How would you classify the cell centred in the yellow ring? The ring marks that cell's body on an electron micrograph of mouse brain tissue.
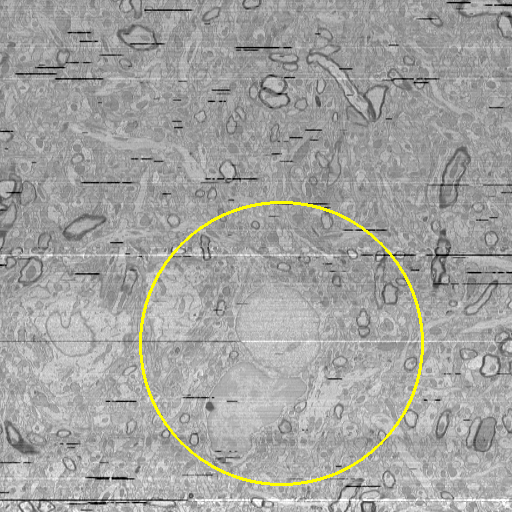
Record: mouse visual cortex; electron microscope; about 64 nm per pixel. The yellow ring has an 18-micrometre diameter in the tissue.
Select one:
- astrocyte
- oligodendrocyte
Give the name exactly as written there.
astrocyte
